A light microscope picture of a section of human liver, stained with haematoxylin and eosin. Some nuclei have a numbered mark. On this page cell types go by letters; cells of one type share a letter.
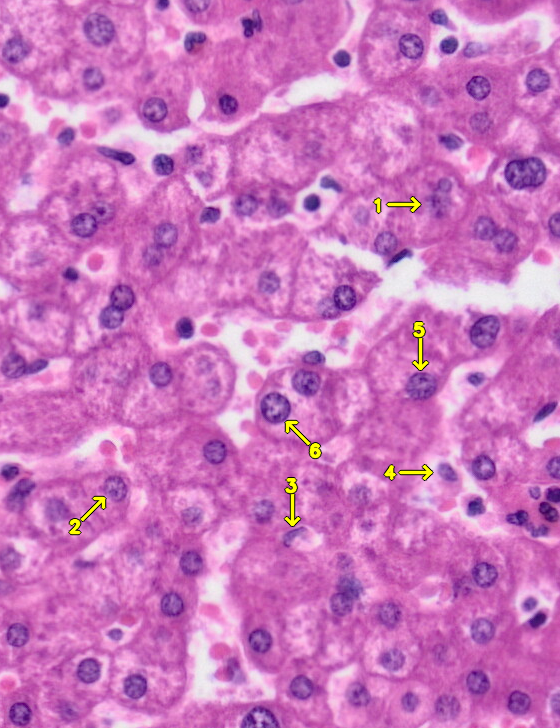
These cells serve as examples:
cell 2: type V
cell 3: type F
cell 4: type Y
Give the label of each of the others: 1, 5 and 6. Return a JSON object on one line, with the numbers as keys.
{"1": "type V", "5": "type V", "6": "type V"}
